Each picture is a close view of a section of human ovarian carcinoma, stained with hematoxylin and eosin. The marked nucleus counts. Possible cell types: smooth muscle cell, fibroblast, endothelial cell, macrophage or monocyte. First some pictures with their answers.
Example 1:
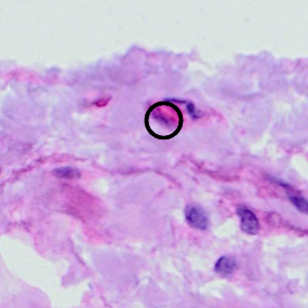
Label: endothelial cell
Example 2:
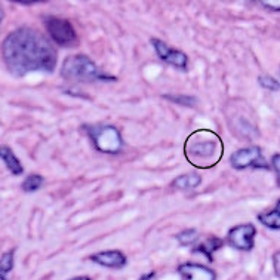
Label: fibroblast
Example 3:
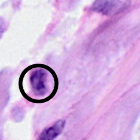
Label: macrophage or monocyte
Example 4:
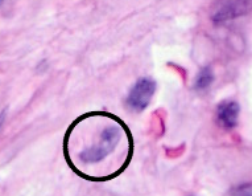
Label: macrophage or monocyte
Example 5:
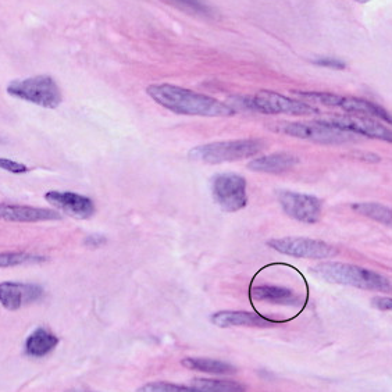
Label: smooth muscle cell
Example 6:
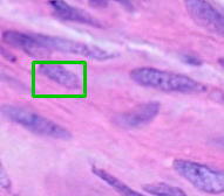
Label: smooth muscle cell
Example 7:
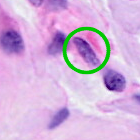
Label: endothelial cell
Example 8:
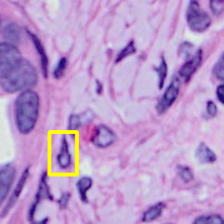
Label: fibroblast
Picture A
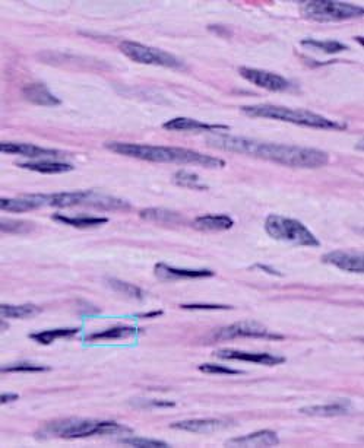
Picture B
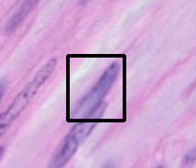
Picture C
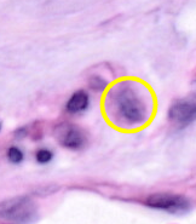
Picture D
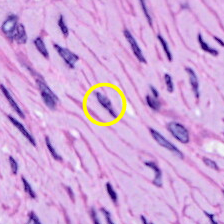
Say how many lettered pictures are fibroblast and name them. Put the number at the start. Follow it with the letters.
1, namely D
